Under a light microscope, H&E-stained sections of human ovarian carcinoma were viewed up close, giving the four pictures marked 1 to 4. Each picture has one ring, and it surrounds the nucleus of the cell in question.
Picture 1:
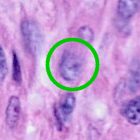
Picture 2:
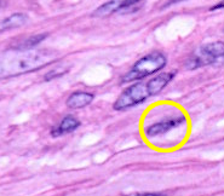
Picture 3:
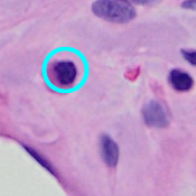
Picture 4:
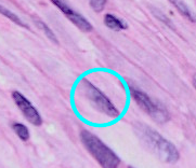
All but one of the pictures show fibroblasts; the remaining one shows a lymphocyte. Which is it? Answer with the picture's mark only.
3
